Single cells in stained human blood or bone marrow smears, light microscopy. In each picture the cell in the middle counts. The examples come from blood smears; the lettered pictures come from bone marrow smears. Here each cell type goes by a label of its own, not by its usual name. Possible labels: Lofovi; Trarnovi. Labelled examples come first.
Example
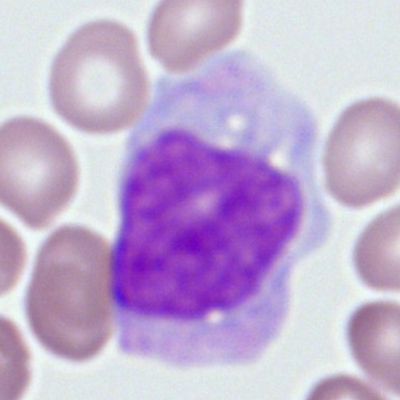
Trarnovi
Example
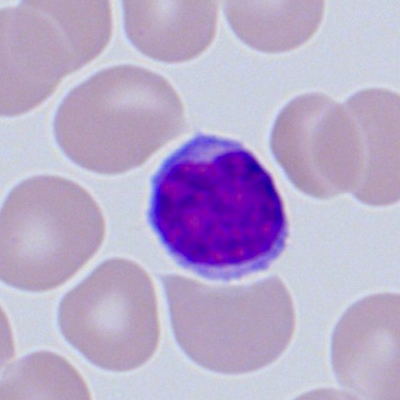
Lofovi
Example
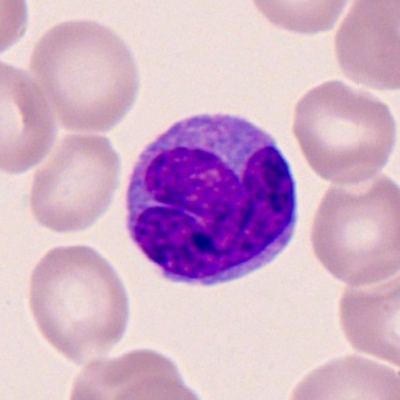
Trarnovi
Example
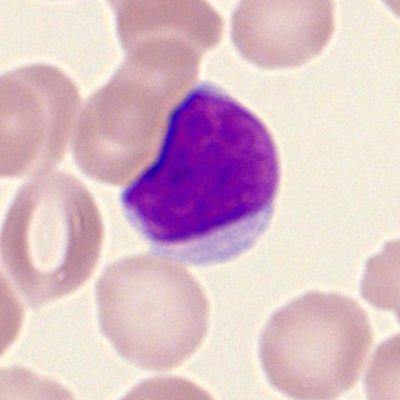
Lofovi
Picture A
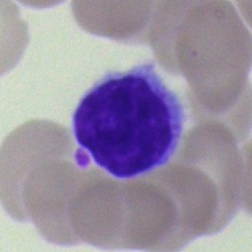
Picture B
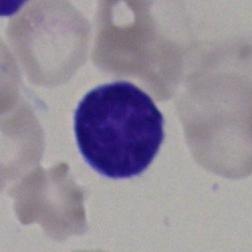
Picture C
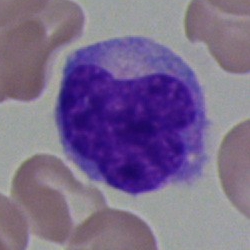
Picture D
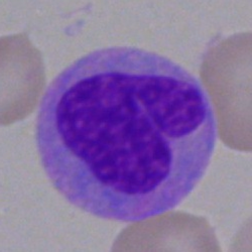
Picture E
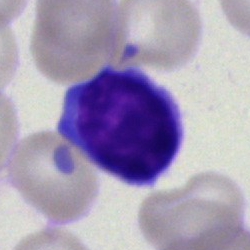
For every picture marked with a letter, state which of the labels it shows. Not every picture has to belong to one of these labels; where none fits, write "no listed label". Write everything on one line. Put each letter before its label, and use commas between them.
A Lofovi, B Lofovi, C Trarnovi, D Trarnovi, E Lofovi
